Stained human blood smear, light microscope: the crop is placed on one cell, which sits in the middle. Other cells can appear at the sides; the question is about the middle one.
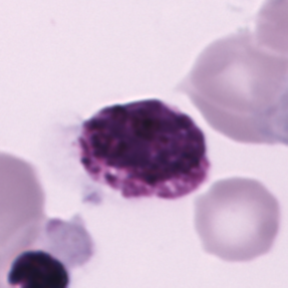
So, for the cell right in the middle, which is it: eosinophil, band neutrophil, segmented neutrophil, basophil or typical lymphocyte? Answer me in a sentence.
At the center of the crop sits a basophil.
